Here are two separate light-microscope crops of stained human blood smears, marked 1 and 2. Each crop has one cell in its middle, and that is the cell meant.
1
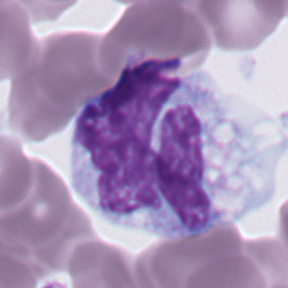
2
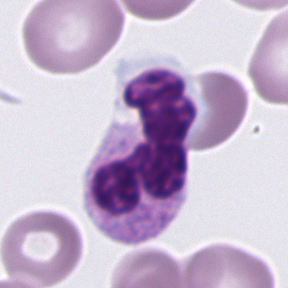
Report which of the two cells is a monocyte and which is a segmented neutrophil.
1: monocyte
2: segmented neutrophil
